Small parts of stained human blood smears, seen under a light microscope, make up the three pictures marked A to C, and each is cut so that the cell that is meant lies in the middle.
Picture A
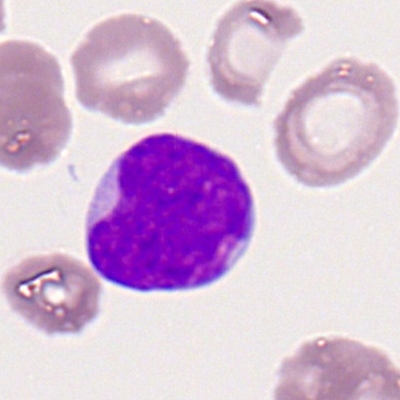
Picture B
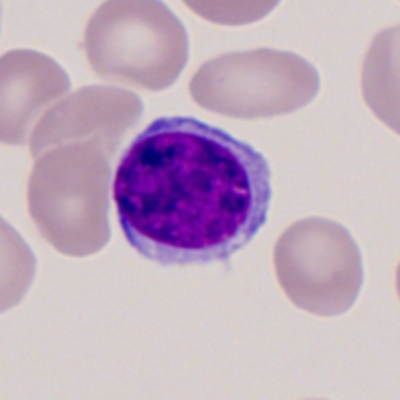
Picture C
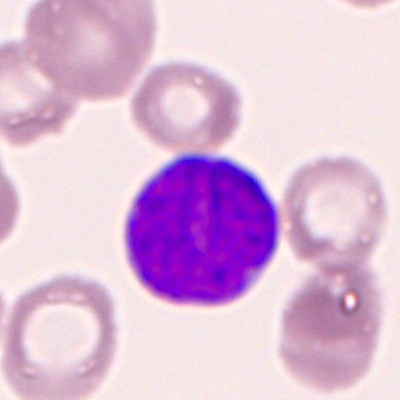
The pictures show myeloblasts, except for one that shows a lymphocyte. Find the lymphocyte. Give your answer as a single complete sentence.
The cell in picture B is the lymphocyte.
